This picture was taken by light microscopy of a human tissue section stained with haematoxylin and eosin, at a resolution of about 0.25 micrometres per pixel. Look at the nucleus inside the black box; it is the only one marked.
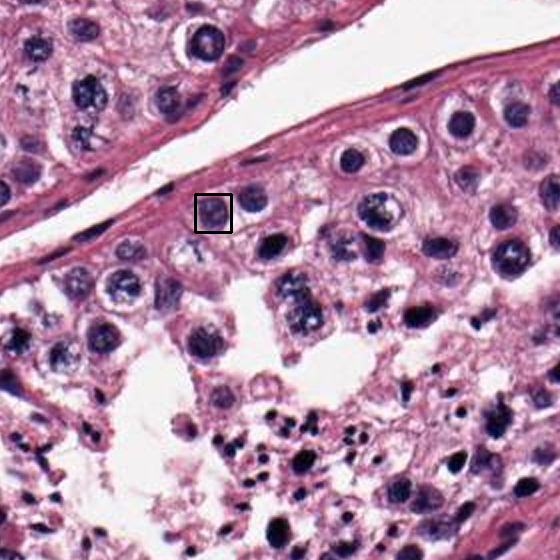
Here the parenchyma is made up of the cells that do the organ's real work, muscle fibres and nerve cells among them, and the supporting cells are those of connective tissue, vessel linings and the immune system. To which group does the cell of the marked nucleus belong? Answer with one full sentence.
Belonging to a parenchymal cell, the marked nucleus is that of a spermatogonium.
